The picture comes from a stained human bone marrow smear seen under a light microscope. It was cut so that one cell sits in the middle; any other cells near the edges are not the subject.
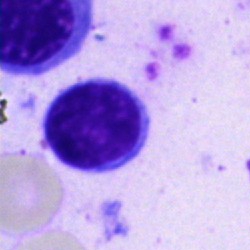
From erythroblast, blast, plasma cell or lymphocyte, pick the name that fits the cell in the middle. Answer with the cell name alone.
lymphocyte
